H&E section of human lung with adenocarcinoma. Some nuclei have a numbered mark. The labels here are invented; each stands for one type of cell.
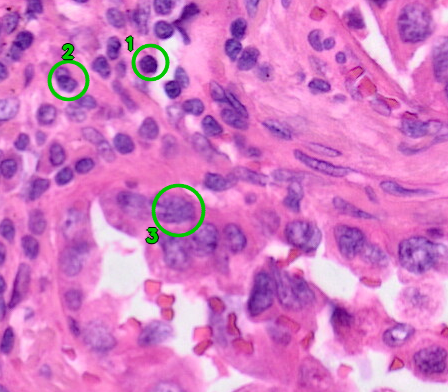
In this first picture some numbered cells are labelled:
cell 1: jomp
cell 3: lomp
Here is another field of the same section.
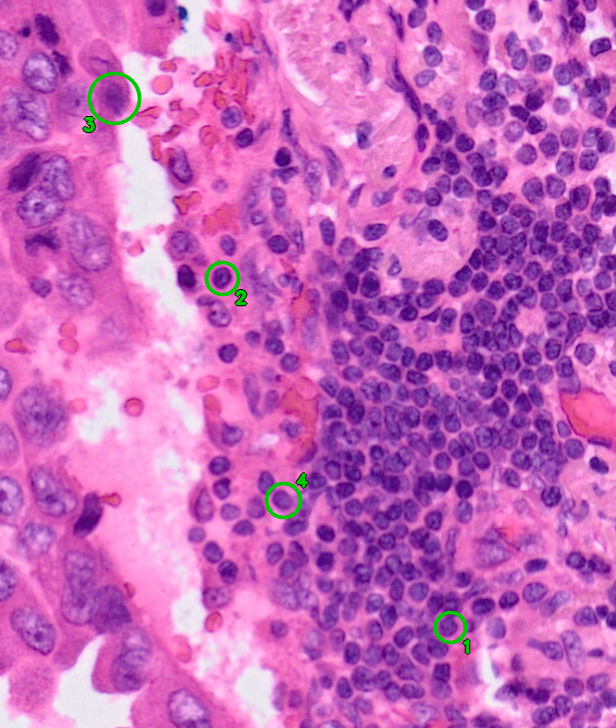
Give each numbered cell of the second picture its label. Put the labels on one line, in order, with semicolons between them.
jomp; jomp; lomp; jomp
